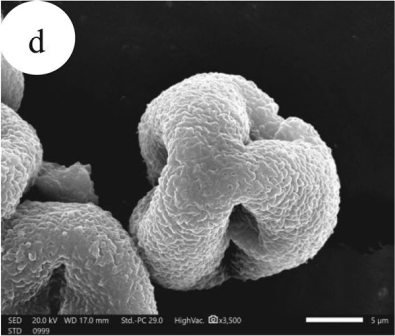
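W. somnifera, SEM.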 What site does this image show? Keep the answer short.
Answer: polar view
